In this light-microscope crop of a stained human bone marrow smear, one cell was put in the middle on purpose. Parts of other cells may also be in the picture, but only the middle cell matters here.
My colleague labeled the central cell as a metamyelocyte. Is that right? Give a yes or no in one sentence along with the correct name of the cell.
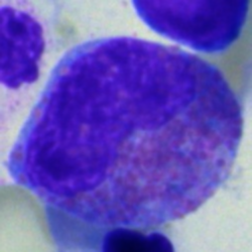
No, the central cell does not count as a metamyelocyte; it is an eosinophil.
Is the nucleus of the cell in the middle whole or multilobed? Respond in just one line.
Its nucleus is compact and single, with a round, oval or kidney-shaped form.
